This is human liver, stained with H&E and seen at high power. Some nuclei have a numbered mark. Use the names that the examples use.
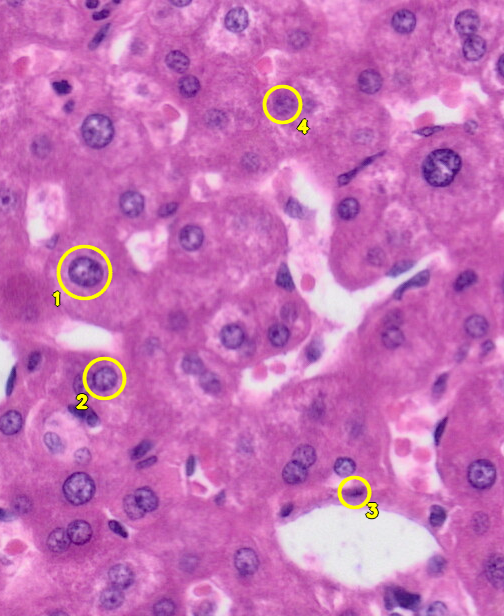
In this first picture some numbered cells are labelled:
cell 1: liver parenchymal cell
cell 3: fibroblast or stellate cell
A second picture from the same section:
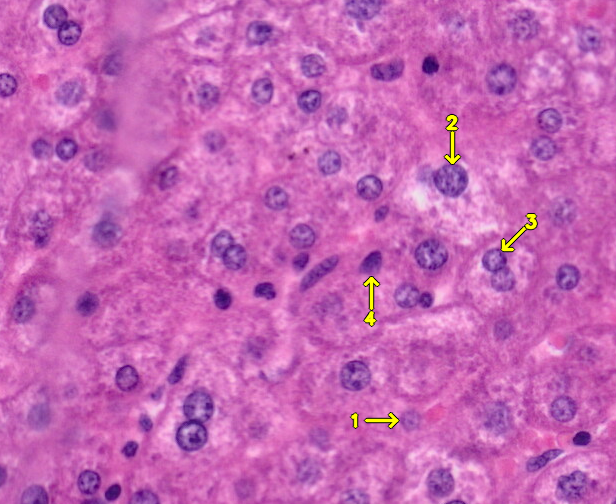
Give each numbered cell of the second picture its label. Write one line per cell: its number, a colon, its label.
1: liver parenchymal cell
2: liver parenchymal cell
3: liver parenchymal cell
4: fibroblast or stellate cell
